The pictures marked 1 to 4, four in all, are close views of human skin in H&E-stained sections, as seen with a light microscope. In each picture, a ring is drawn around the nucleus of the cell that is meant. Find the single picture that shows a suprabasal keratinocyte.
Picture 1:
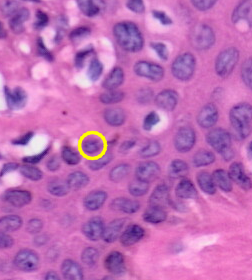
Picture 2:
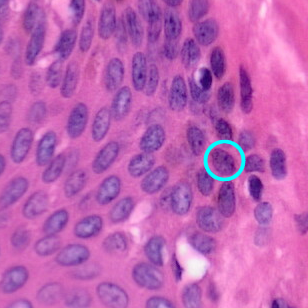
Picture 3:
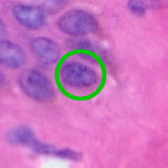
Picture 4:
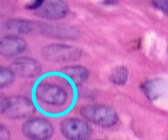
4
